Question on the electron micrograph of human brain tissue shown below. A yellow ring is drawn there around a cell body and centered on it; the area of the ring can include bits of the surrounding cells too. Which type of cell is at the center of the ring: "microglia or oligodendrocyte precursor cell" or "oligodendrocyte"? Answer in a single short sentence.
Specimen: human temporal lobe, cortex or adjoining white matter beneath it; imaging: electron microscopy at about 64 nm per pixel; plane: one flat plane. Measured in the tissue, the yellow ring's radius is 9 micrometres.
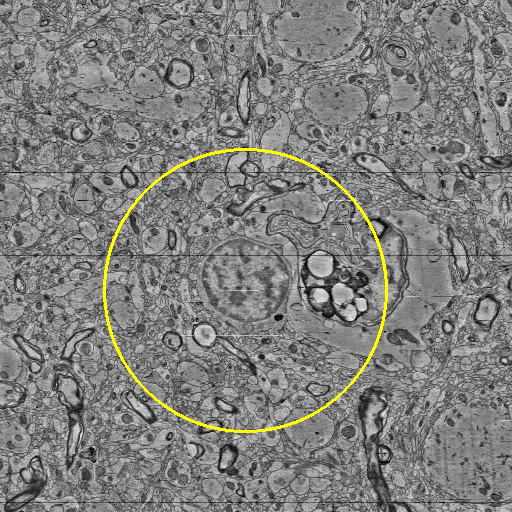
The ring is centered on an oligodendrocyte.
